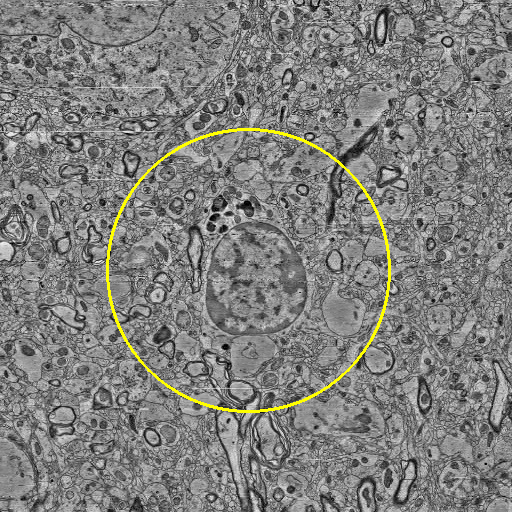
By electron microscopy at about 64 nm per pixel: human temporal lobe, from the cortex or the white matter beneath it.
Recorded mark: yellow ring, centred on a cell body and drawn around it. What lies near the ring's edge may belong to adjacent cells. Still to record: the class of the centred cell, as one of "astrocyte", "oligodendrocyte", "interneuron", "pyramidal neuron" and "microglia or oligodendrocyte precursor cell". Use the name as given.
microglia or oligodendrocyte precursor cell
